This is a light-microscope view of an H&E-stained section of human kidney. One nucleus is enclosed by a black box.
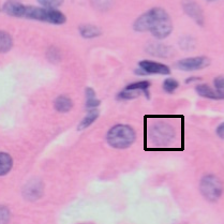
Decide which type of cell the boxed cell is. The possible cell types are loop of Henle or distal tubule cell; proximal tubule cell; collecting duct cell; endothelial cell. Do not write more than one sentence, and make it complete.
It is a proximal tubule cell that the boxed cell represents.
